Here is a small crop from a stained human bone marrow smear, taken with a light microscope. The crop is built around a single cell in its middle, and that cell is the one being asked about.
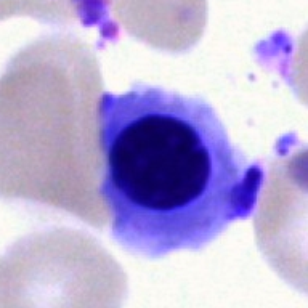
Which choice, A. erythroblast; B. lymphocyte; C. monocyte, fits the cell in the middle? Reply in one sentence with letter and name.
It is an erythroblast that occupies the centre of the crop, so option A is correct.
